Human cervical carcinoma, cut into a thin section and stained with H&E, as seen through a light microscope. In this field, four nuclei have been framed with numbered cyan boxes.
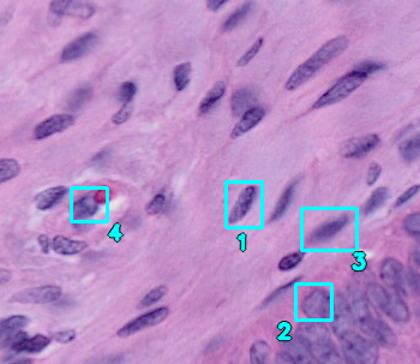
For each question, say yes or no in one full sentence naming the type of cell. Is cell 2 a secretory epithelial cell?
Yes, in this section the cell numbered 2 is a secretory epithelial cell.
